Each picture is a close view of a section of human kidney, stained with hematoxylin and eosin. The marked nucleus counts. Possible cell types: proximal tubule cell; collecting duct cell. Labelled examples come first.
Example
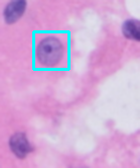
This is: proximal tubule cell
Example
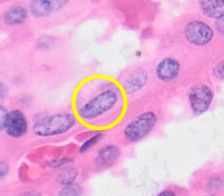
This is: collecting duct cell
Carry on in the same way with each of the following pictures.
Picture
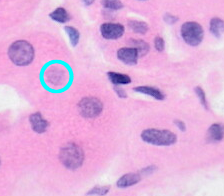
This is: proximal tubule cell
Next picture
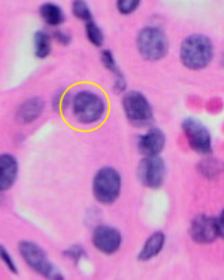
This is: collecting duct cell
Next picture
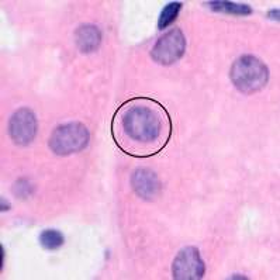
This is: proximal tubule cell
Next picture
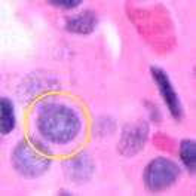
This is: collecting duct cell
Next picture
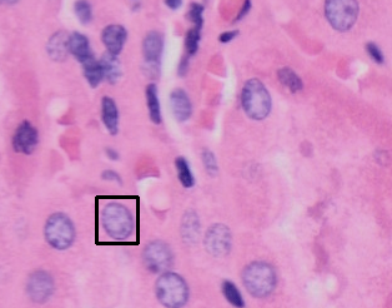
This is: proximal tubule cell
